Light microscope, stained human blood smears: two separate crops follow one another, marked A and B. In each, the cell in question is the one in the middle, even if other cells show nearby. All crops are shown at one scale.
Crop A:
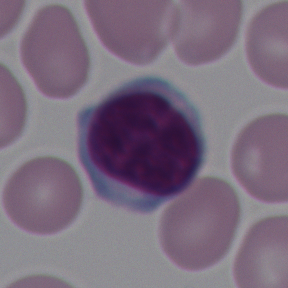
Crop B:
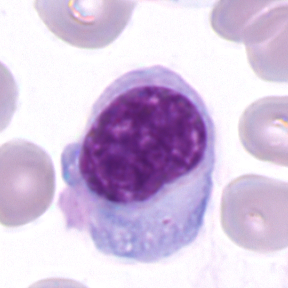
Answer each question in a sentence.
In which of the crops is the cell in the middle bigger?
Larger is the cell in crop B, at roughly 1.5 times the area of the other.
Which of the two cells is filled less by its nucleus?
Of the two, the nucleus in crop B leaves more room for cytoplasm.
